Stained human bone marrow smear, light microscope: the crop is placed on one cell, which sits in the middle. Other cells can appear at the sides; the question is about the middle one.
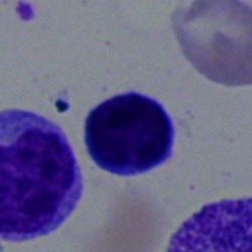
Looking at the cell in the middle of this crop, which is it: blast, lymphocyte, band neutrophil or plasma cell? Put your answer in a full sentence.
At the crop's centre, the cell is a lymphocyte.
